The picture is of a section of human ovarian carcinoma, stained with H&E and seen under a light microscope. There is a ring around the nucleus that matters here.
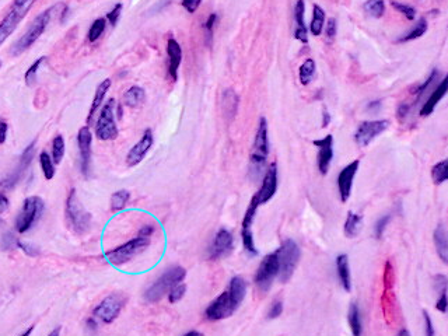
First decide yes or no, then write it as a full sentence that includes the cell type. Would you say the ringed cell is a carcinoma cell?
No, the ringed cell is reported as a smooth muscle cell rather than a carcinoma cell.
